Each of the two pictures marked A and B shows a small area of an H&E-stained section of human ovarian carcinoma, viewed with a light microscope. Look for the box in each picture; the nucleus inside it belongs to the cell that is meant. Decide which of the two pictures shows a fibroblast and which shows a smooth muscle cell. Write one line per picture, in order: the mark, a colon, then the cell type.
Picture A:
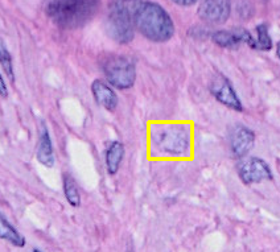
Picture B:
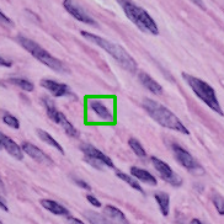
A: fibroblast
B: smooth muscle cell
